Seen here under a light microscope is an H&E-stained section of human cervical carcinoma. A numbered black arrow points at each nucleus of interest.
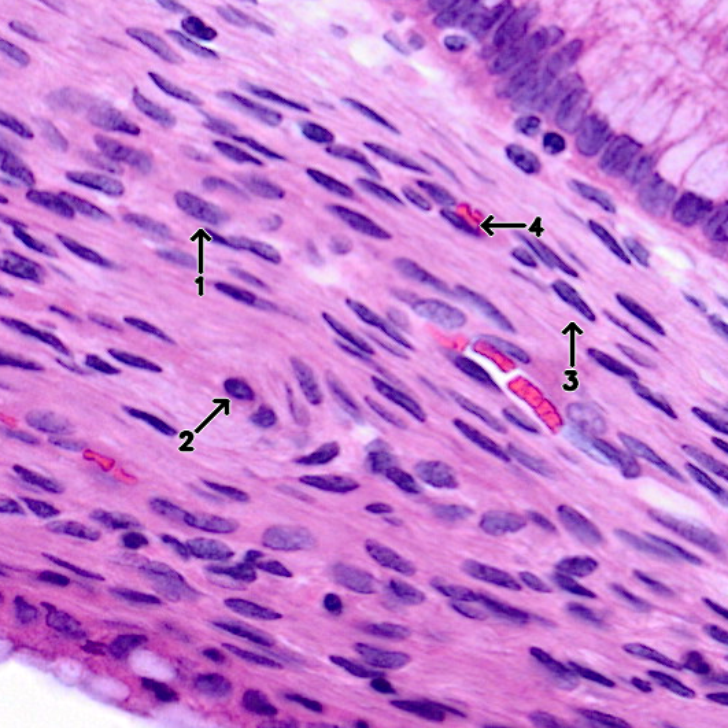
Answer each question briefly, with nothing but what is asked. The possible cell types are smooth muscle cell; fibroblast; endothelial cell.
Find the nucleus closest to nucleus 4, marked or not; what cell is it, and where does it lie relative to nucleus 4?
an endothelial cell; above and to the left of nucleus 4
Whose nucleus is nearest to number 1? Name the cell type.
fibroblast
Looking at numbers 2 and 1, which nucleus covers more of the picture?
1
